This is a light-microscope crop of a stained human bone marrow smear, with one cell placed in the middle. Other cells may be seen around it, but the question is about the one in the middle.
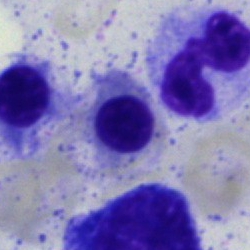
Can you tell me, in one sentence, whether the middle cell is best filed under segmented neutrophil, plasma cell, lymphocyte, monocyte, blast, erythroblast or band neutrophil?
The cell positioned in the middle of the field is an erythroblast.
